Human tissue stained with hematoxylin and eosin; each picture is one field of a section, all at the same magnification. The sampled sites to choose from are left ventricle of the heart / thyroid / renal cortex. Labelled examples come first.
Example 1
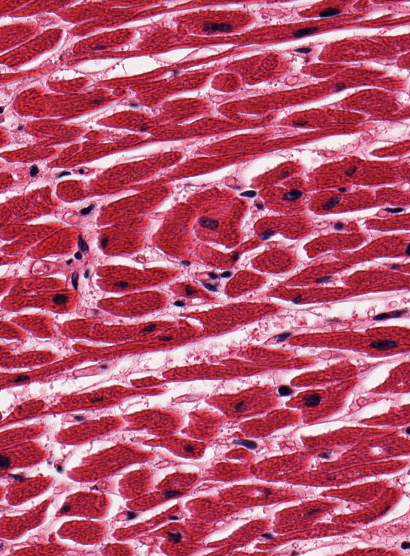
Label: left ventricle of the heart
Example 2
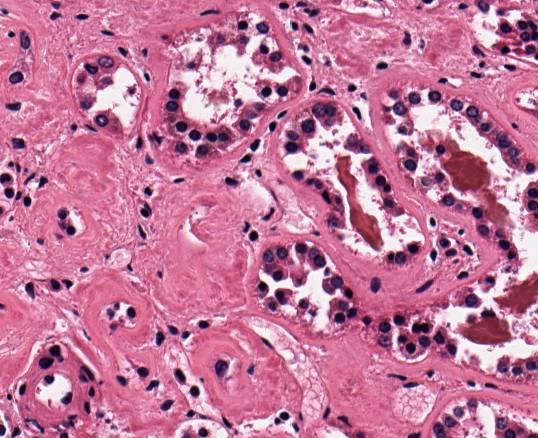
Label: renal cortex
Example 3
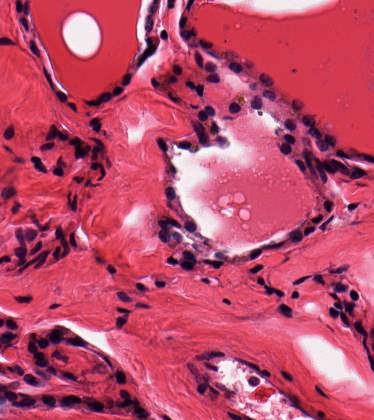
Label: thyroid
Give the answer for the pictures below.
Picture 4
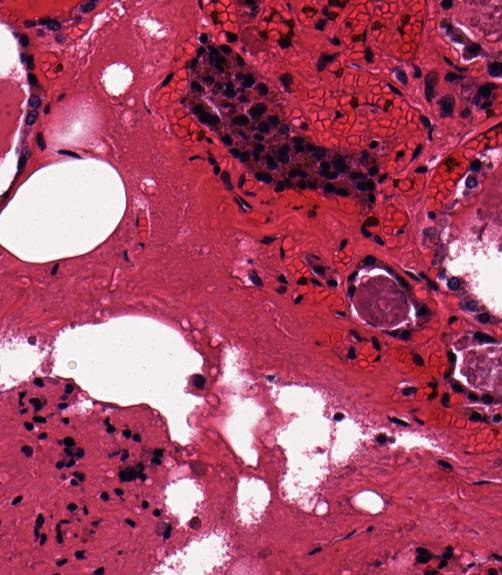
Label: thyroid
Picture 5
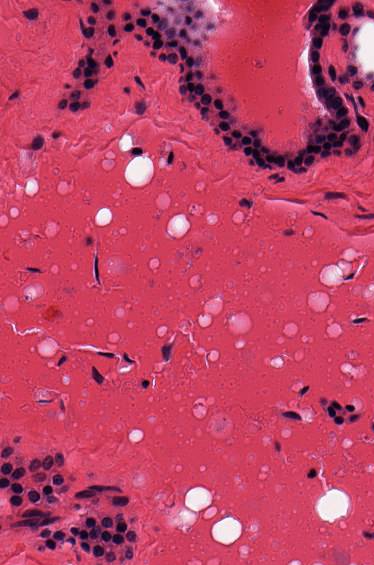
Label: thyroid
